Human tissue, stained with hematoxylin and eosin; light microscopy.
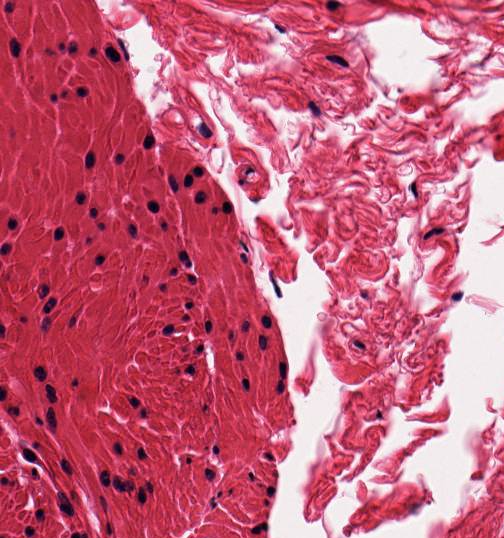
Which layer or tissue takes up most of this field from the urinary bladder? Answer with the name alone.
smooth muscle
